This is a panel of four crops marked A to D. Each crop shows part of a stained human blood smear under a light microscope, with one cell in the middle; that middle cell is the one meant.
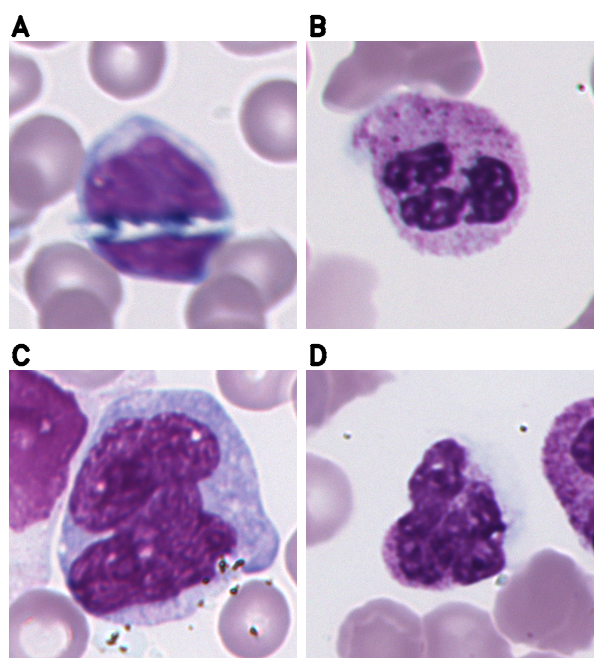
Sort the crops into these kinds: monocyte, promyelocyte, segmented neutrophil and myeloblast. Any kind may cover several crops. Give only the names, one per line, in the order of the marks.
myeloblast
segmented neutrophil
monocyte
segmented neutrophil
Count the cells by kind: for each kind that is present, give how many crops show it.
segmented neutrophil: 2
myeloblast: 1
monocyte: 1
